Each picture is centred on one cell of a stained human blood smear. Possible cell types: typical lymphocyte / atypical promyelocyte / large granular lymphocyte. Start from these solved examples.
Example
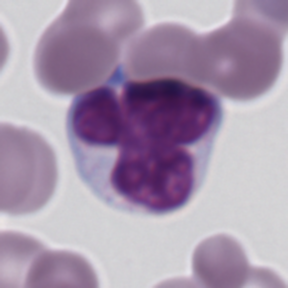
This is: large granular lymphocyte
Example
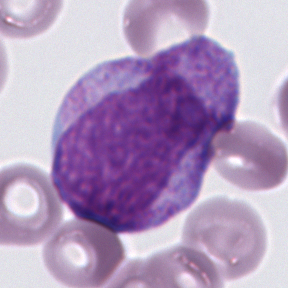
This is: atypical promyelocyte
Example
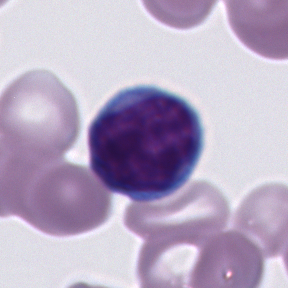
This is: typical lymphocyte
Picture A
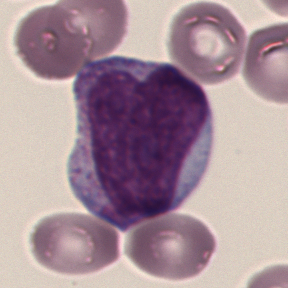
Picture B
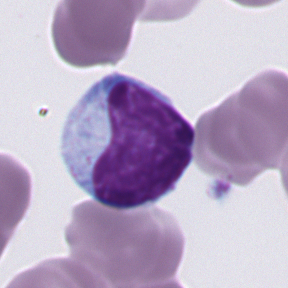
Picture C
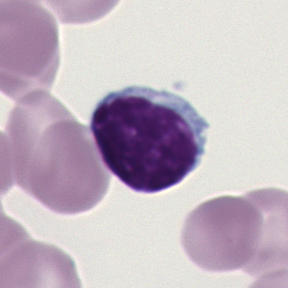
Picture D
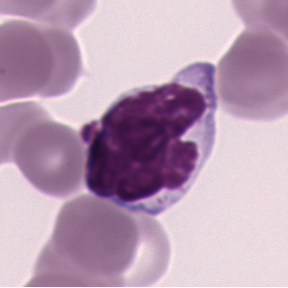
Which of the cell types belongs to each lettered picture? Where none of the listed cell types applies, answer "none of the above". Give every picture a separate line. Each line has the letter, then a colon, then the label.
A: atypical promyelocyte
B: typical lymphocyte
C: typical lymphocyte
D: large granular lymphocyte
